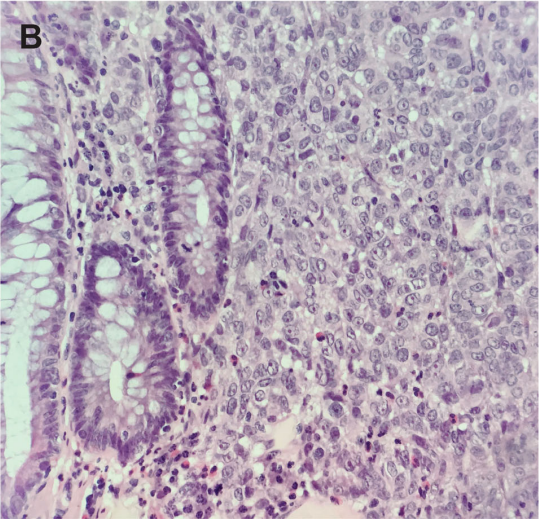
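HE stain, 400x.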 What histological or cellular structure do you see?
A: Benign colonic glands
